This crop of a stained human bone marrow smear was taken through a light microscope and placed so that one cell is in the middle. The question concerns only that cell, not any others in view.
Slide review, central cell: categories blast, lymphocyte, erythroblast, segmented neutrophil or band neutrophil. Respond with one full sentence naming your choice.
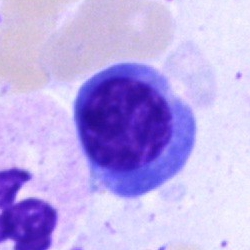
As for the cell in the middle, it is an erythroblast.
